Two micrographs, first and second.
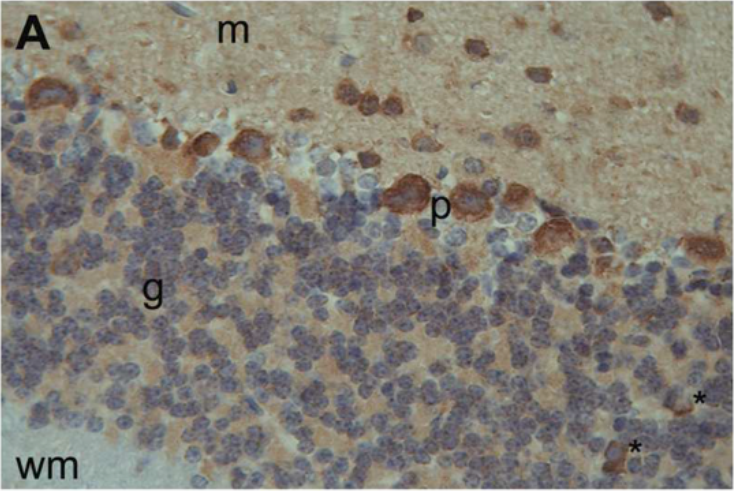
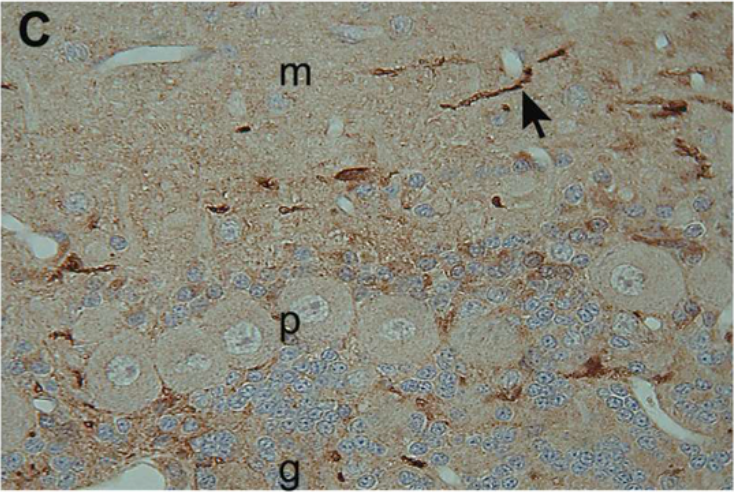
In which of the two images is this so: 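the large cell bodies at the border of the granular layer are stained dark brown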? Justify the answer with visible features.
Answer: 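Second image: the large round cell bodies in a row above the granular layer are pale, with clear nuclei and little brown. First image: the large cell bodies in the row above the granular layer are filled with dark brown stain.
Conclusion: the first image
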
